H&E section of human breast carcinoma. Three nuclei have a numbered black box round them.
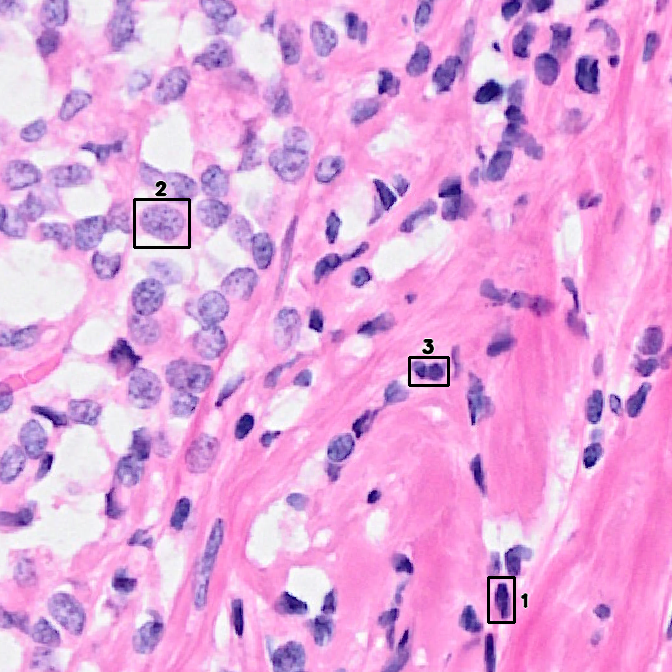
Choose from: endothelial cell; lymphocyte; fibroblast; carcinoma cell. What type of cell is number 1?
lymphocyte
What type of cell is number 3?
lymphocyte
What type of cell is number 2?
carcinoma cell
